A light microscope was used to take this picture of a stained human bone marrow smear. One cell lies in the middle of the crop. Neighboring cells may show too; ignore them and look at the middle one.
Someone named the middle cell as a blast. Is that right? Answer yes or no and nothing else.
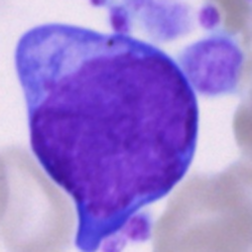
yes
